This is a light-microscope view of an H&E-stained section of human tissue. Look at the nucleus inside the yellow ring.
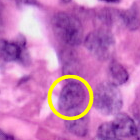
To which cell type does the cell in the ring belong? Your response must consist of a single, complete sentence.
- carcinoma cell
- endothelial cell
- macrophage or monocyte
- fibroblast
Right, so the cell in the ring is a carcinoma cell, to answer that.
